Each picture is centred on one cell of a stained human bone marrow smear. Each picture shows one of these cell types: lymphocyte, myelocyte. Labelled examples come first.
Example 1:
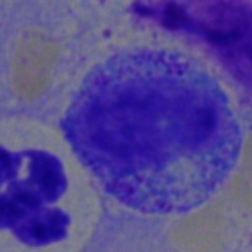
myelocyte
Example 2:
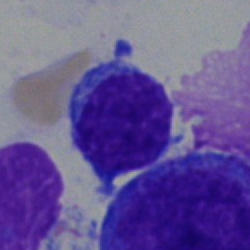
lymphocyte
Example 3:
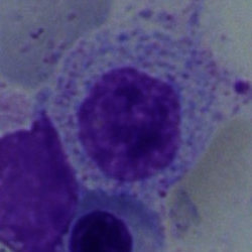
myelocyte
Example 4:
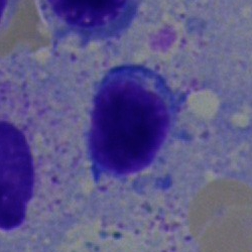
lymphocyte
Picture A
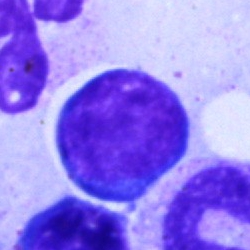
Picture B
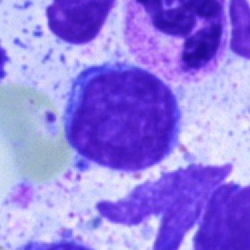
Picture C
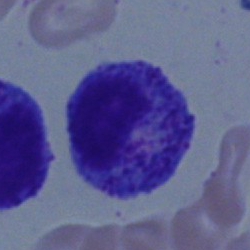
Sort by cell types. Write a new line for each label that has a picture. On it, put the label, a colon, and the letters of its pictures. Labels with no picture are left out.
lymphocyte: A, B
myelocyte: C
